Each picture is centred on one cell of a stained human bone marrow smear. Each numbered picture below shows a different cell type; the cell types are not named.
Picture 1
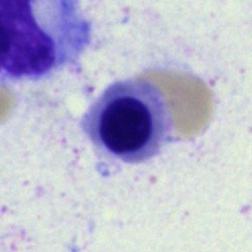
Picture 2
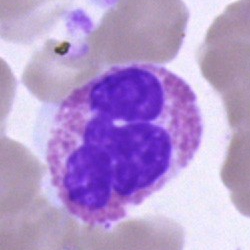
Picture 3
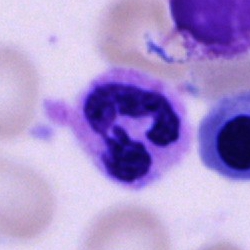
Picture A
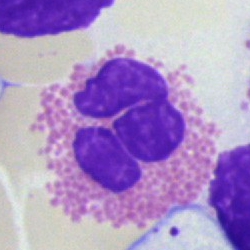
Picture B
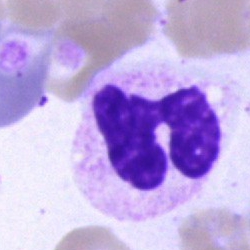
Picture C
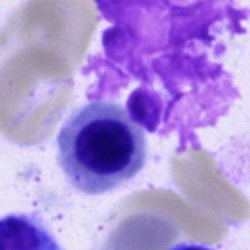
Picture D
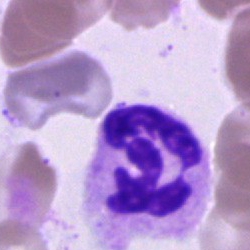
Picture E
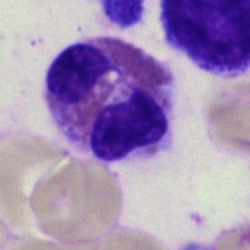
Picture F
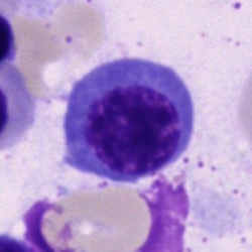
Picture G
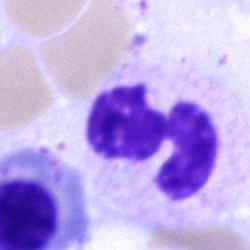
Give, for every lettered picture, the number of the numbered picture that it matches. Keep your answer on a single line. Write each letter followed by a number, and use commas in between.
A 2, B 3, C 1, D 3, E 2, F 1, G 3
